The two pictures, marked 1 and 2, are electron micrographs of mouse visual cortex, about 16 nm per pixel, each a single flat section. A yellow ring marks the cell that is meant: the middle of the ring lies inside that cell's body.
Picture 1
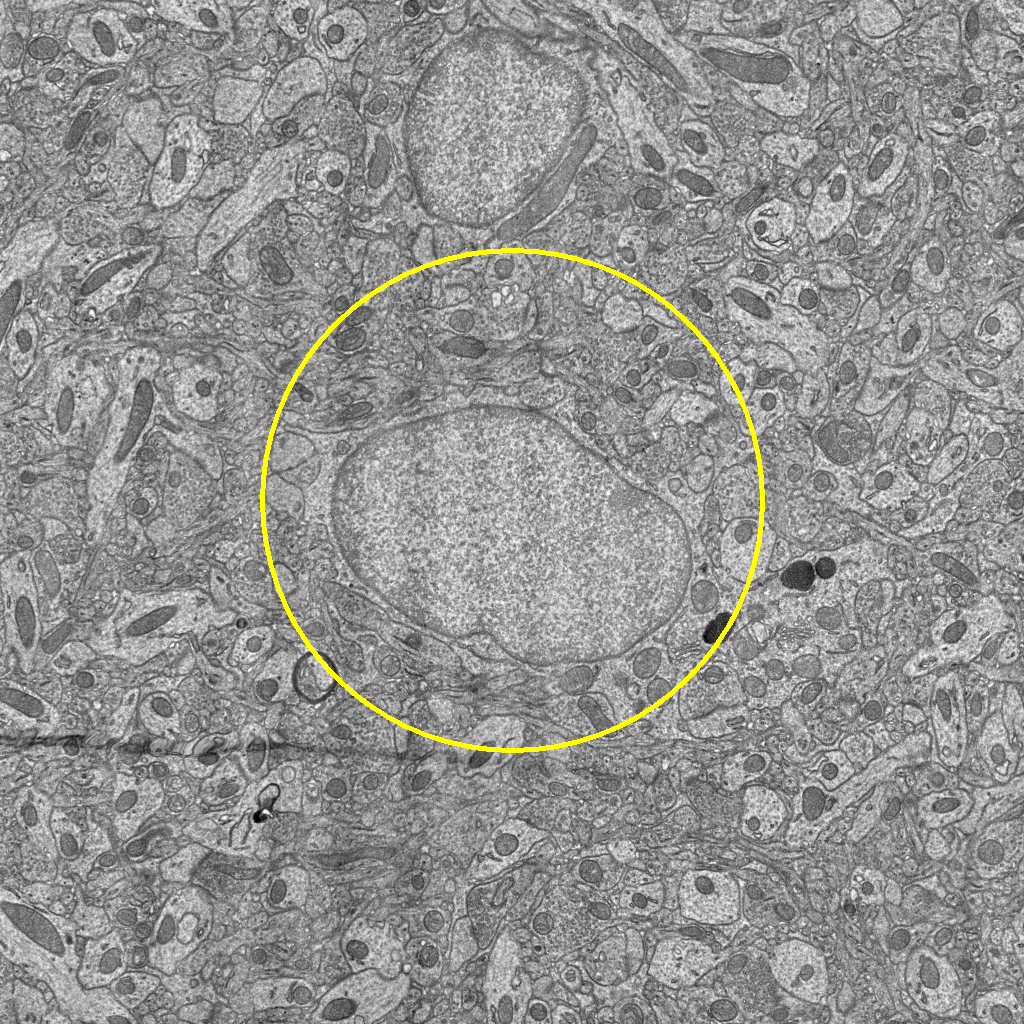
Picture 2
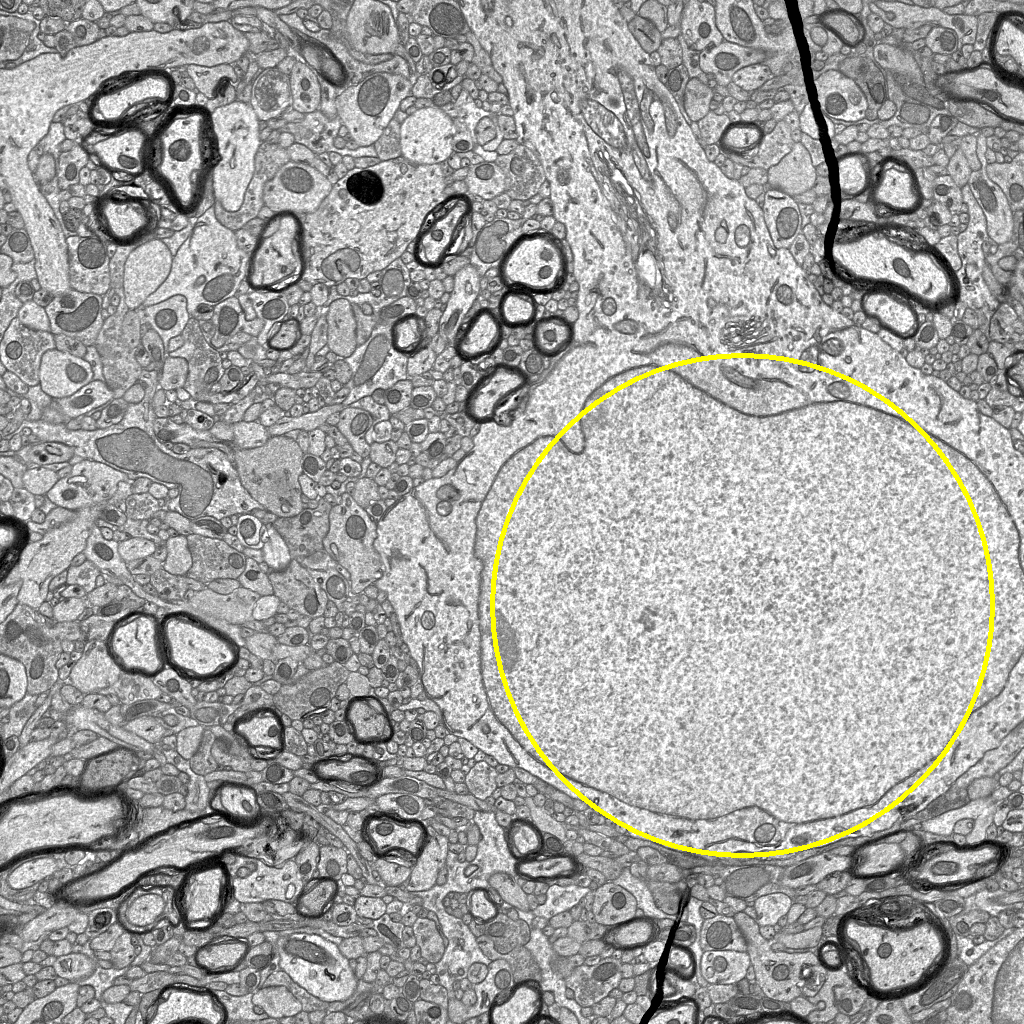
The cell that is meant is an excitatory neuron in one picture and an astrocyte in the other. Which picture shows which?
Picture 2 shows an excitatory neuron, while picture 1 shows an astrocyte.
